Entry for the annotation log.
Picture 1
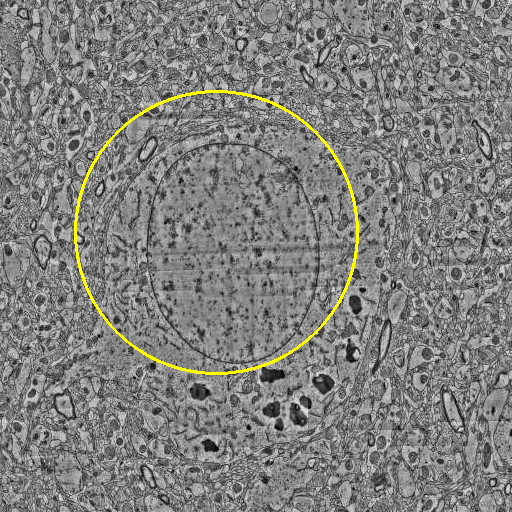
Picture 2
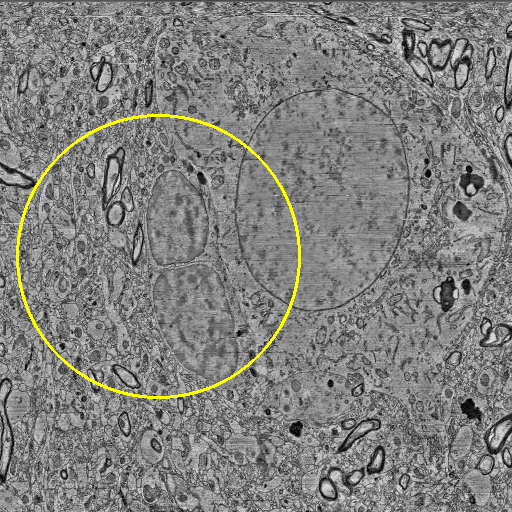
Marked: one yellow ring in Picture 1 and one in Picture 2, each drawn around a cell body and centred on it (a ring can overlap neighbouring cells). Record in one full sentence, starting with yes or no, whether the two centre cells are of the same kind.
No, the two cells are of two kinds.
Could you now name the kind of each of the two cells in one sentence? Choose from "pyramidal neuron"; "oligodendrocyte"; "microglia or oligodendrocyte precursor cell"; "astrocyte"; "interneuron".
The first ring encloses a pyramidal neuron; the second ring encloses an oligodendrocyte.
